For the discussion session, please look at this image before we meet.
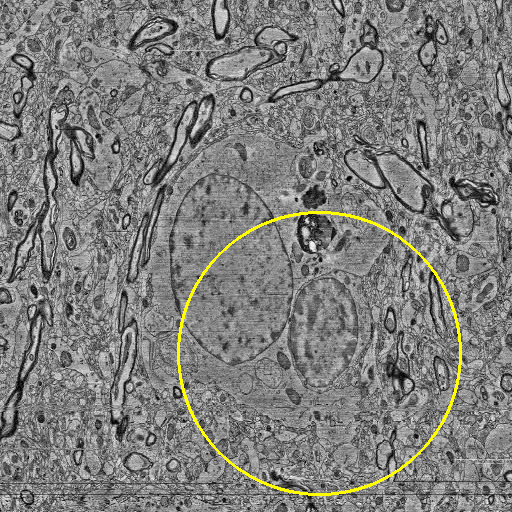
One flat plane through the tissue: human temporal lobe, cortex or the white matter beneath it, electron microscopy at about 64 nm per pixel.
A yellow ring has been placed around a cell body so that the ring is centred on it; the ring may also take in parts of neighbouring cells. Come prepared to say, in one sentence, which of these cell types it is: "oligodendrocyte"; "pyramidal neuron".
The cell centred in the ring is an oligodendrocyte.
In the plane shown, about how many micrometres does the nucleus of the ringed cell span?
About 7 micrometres by about 5 micrometres in this plane.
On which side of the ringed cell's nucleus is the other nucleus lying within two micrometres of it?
The other one lies to the upper left of it.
